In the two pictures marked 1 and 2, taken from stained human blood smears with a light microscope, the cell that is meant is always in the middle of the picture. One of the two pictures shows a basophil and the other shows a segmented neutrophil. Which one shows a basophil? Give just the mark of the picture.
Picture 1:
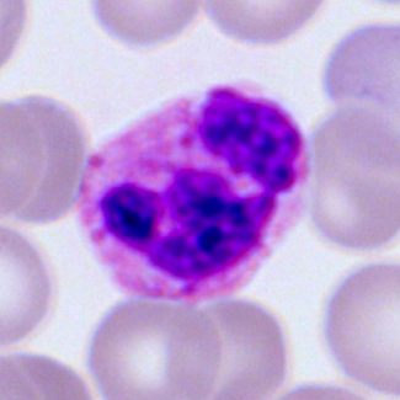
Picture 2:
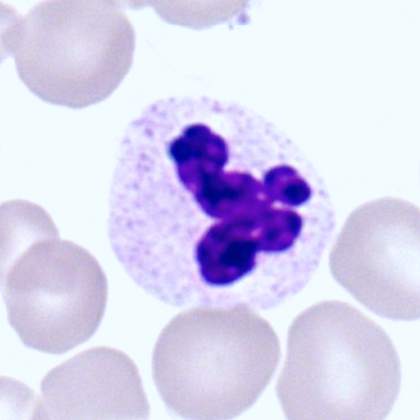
1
